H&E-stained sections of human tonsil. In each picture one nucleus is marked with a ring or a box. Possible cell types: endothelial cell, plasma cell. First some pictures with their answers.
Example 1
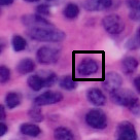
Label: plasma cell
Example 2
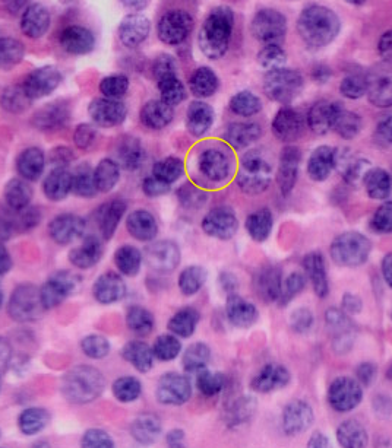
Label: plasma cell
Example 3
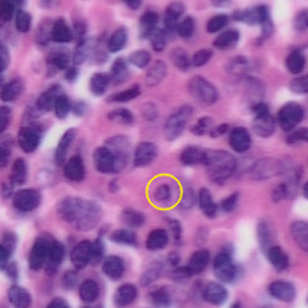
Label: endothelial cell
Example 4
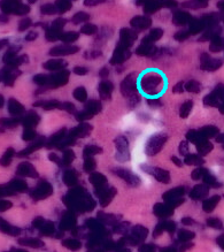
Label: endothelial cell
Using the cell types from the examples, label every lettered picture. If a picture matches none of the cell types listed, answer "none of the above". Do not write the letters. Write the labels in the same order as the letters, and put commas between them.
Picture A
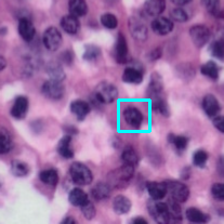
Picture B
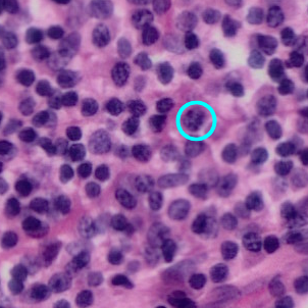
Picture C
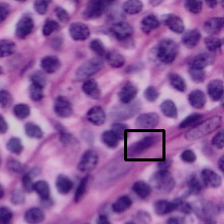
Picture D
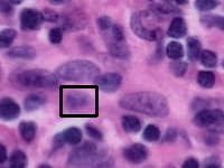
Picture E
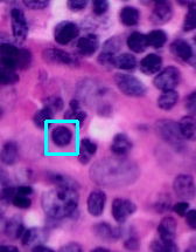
plasma cell, plasma cell, endothelial cell, endothelial cell, endothelial cell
